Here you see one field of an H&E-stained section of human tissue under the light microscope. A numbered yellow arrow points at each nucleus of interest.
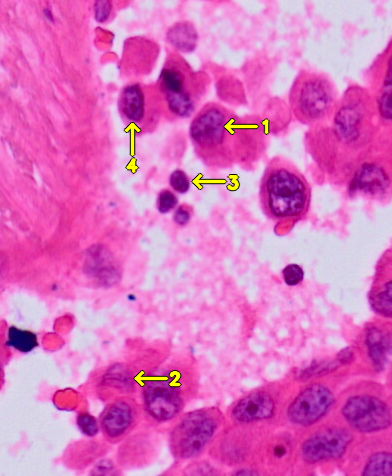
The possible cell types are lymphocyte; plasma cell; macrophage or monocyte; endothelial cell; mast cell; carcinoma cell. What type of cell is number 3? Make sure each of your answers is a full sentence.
The correct label for cell 3 is a lymphocyte.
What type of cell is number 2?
The cell indicated by marker 2 is a carcinoma cell in this section.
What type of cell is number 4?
The cell tagged with 4 in this tissue section is a carcinoma cell.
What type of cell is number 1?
Among the marked nuclei, number 1 belongs to a carcinoma cell.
